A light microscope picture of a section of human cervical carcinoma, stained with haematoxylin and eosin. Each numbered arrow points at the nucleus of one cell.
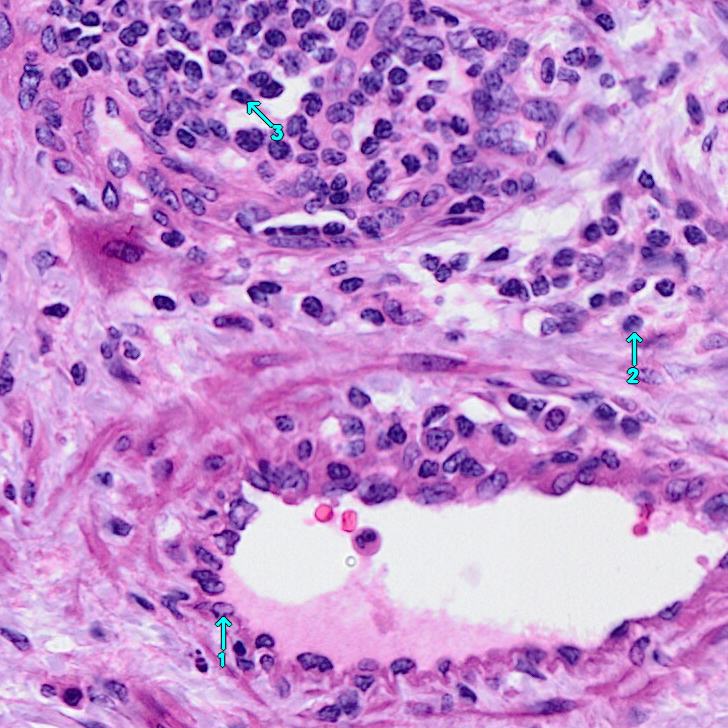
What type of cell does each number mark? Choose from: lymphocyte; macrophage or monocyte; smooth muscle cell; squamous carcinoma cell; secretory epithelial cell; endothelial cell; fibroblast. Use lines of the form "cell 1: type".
cell 1: endothelial cell
cell 2: lymphocyte
cell 3: lymphocyte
